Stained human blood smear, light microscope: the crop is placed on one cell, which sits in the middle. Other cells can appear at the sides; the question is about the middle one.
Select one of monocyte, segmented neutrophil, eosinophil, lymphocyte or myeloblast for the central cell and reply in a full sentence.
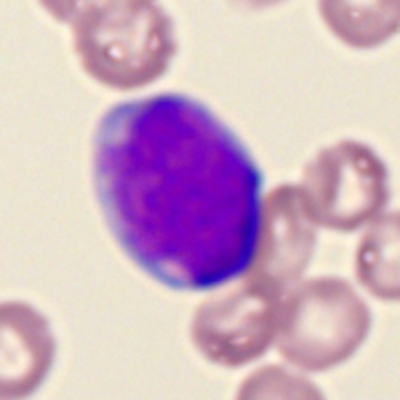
As for the cell in the middle, it is a myeloblast.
